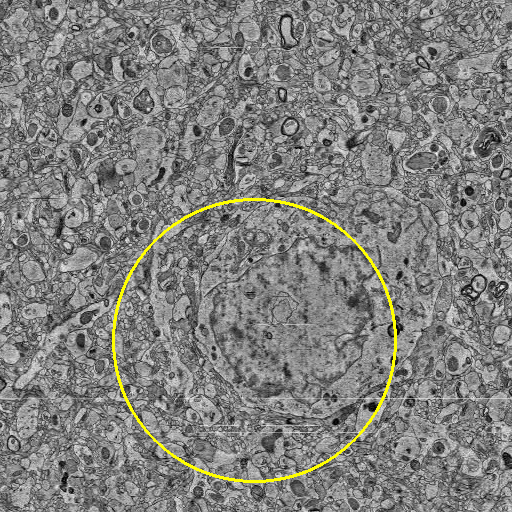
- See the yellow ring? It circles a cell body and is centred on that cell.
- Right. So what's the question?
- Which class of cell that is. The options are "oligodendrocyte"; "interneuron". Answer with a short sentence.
The centre of the ring holds an interneuron.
